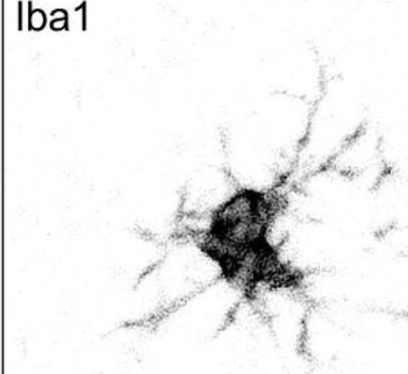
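A single microglial cell is shown at high magnification, dark on a pale background. It has a compact, irregular cell body that is densely labelled, from which several processes extend in different directions. The overall shape is bushy and roughly star-like, with the labelling grainy in texture. No other cells are visible in the field, and the background shows only scattered faint specks.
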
